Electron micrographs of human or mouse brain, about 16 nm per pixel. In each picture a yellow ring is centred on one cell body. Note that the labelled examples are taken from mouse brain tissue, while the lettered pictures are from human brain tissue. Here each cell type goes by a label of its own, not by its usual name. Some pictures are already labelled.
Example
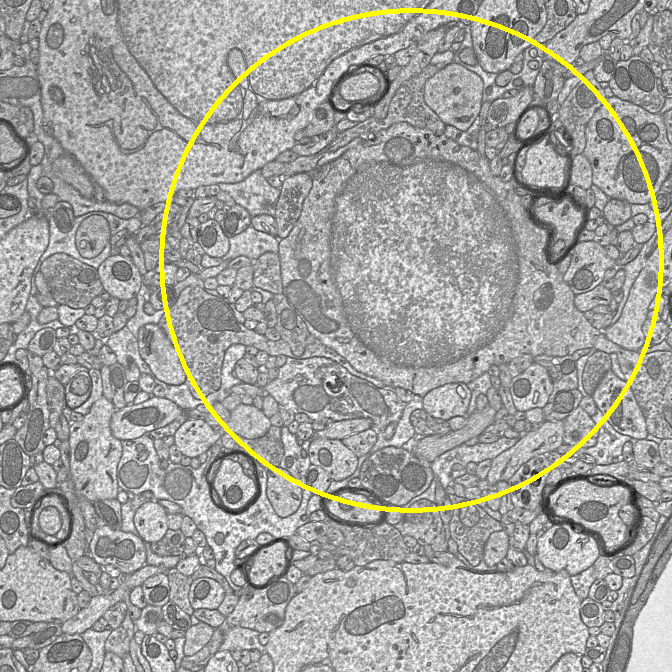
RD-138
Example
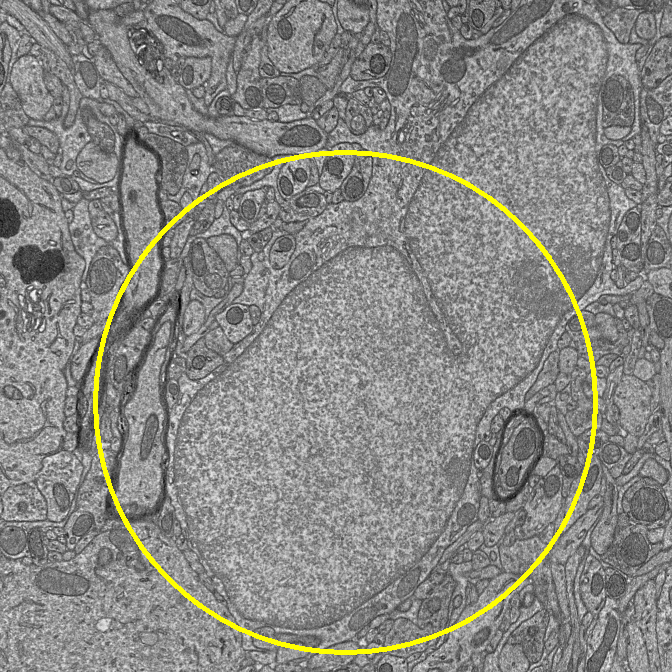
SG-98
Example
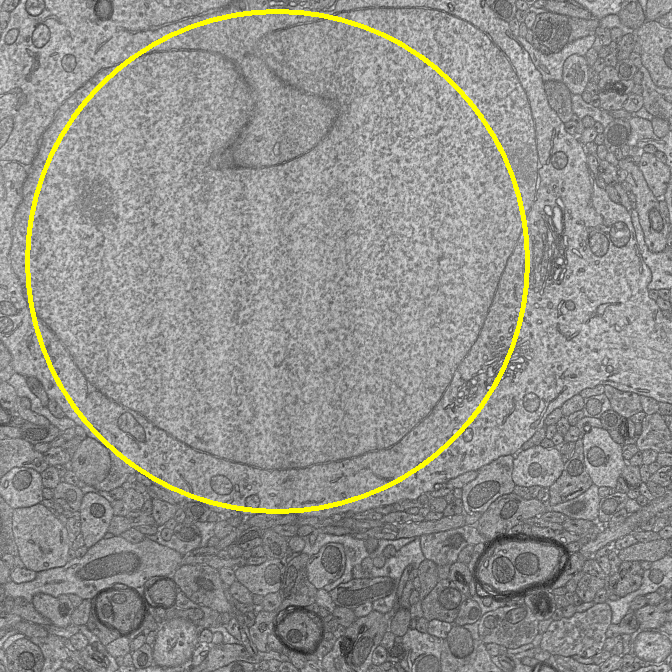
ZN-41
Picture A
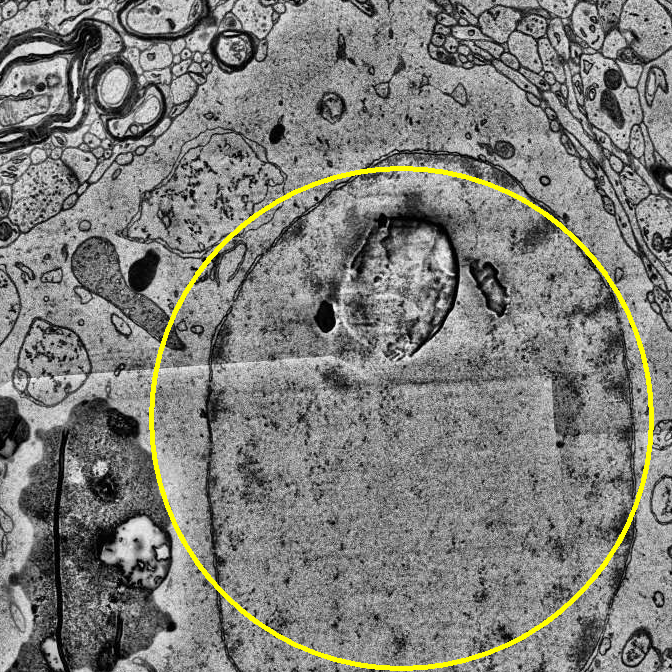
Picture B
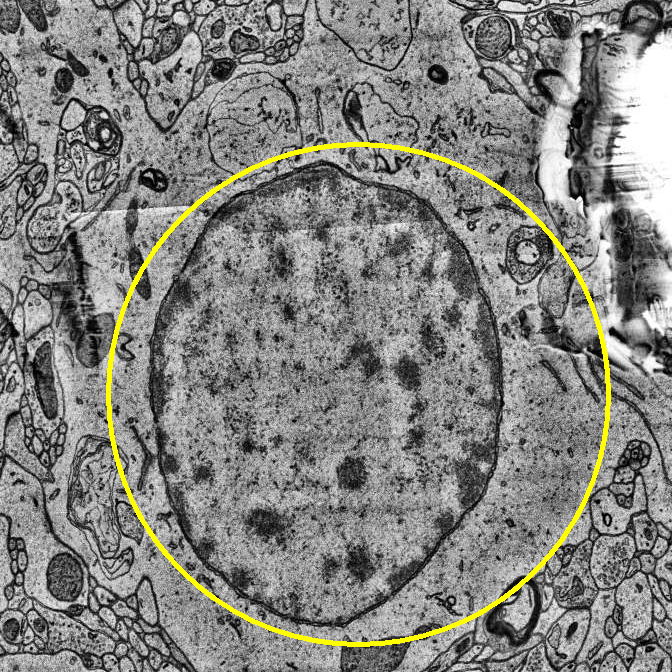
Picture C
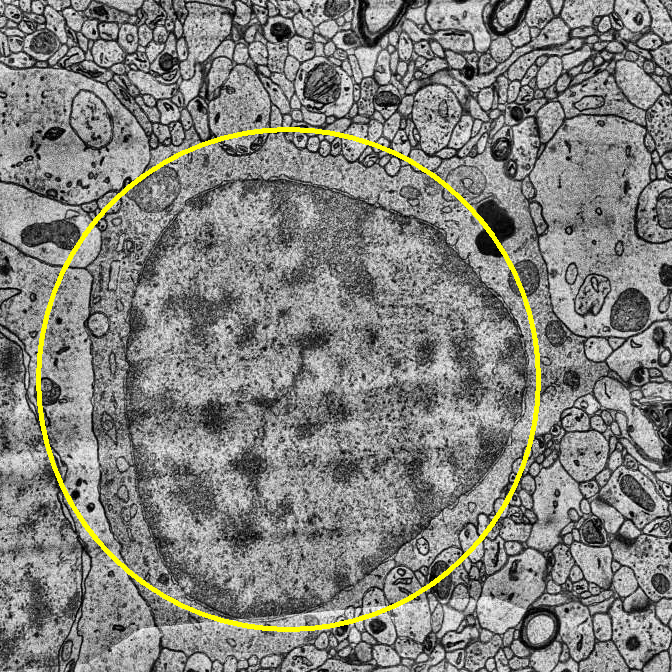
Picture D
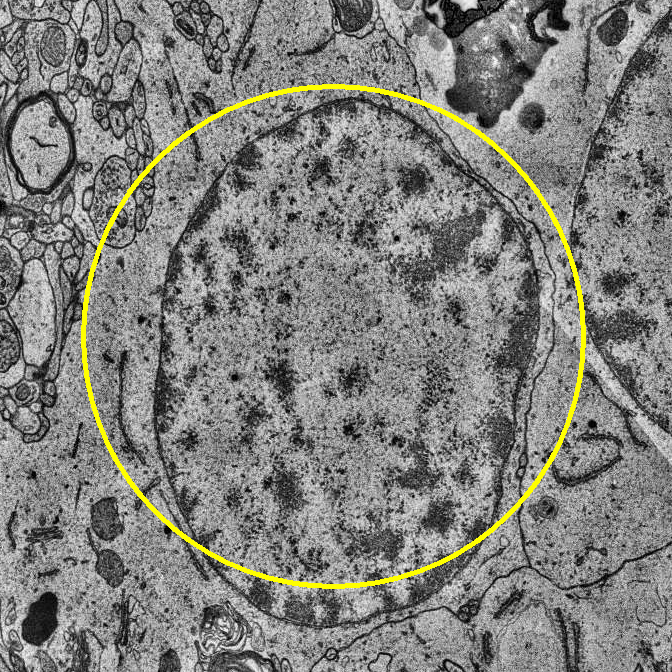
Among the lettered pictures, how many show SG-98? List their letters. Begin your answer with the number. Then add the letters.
3: A, B, D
